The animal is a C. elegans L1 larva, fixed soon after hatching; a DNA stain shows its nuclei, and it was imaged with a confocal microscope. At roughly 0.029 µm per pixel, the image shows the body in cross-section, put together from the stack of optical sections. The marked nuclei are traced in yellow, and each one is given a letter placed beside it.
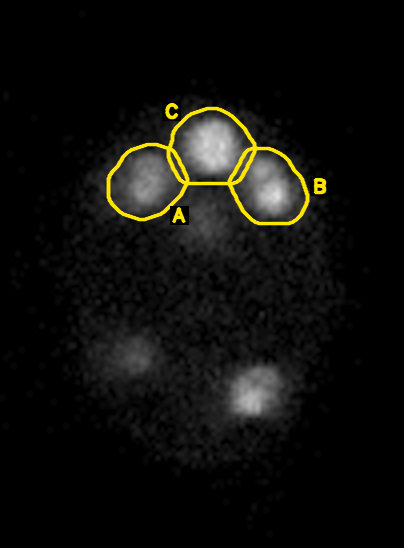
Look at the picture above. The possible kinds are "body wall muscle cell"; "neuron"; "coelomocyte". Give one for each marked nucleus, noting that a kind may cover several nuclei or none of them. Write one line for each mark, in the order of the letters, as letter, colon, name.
A: coelomocyte
B: body wall muscle cell
C: neuron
